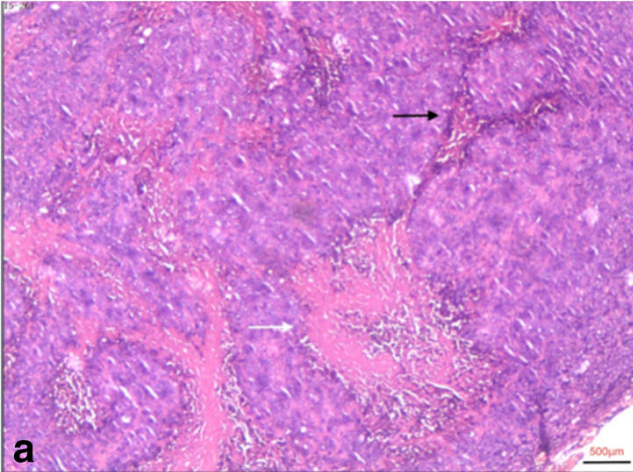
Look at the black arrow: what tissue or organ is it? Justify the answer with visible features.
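The arrow points to a thin pink fibrous band between purple cell masses. The band is narrow compared with the densely packed cellular areas.
Hence: interstitium.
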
